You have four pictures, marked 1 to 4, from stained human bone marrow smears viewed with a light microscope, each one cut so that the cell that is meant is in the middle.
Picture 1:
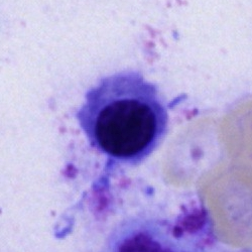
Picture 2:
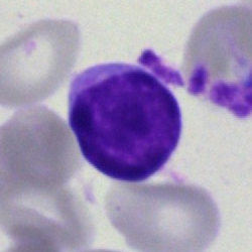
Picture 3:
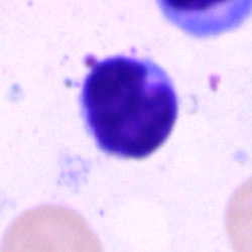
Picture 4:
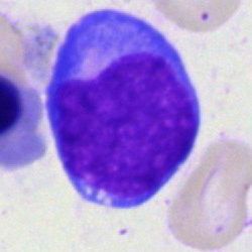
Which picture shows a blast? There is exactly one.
4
